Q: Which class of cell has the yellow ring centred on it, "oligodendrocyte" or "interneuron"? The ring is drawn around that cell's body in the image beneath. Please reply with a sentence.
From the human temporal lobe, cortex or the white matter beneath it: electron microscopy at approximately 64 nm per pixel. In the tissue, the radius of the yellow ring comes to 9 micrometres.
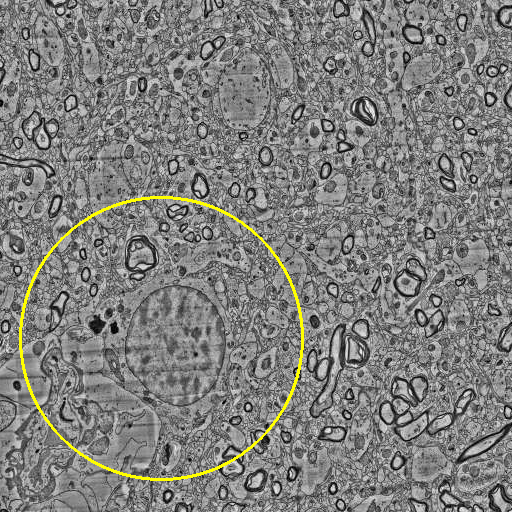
It is centred on an oligodendrocyte.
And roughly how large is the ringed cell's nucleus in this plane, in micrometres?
In this plane the nucleus spans approximately 8 by 6 micrometers.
